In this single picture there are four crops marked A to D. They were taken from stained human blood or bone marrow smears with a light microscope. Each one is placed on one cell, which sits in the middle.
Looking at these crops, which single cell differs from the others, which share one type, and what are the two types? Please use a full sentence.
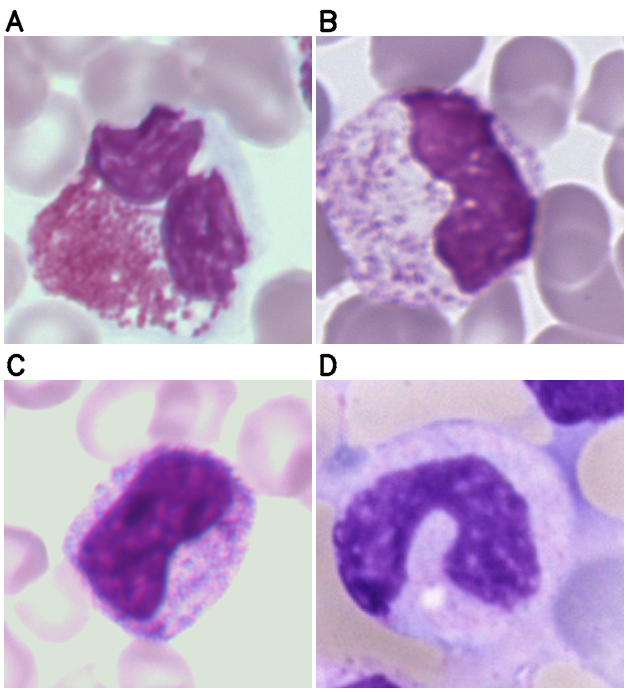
Unlike the other crops, all showing band neutrophils, crop A is an eosinophil.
